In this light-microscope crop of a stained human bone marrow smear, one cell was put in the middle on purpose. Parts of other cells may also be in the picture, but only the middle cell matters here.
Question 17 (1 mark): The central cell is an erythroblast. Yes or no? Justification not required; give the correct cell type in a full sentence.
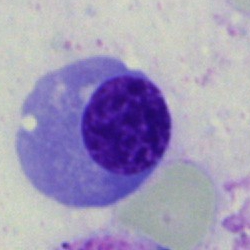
Yes, the middle of the crop is occupied by an erythroblast.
